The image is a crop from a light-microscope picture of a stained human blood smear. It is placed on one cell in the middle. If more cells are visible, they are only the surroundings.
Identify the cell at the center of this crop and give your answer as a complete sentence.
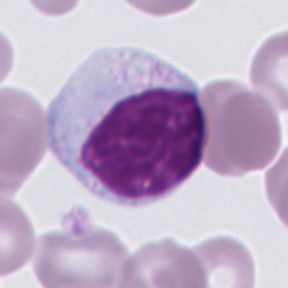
The cell sitting right in the middle is a large granular lymphocyte.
